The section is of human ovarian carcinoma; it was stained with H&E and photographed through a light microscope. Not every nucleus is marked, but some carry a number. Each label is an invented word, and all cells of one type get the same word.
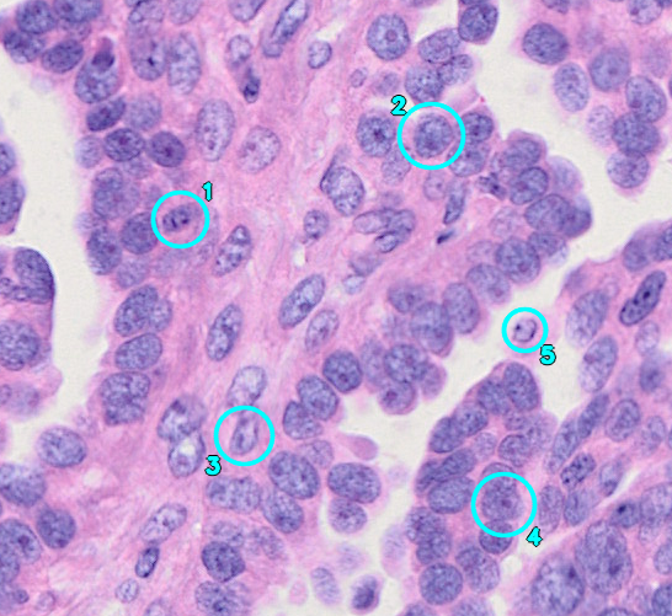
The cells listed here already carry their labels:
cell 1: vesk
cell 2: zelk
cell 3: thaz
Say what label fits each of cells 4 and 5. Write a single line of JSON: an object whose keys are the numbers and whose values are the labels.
{"4": "zelk", "5": "vesk"}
